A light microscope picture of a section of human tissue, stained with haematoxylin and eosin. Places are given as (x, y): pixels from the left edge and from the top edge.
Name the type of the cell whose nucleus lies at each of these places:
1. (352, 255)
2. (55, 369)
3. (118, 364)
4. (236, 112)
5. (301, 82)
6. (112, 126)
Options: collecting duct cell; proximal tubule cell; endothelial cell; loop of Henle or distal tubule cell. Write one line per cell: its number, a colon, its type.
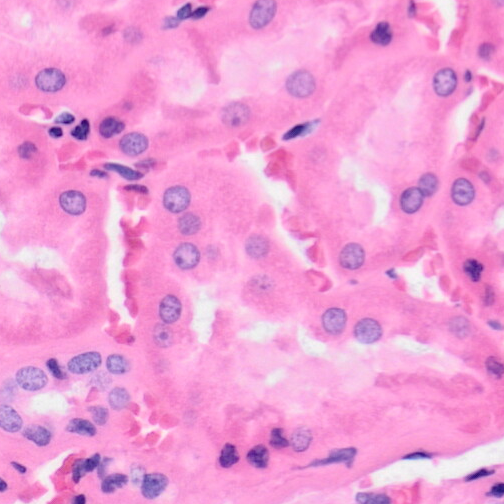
1: proximal tubule cell
2: collecting duct cell
3: collecting duct cell
4: proximal tubule cell
5: proximal tubule cell
6: proximal tubule cell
